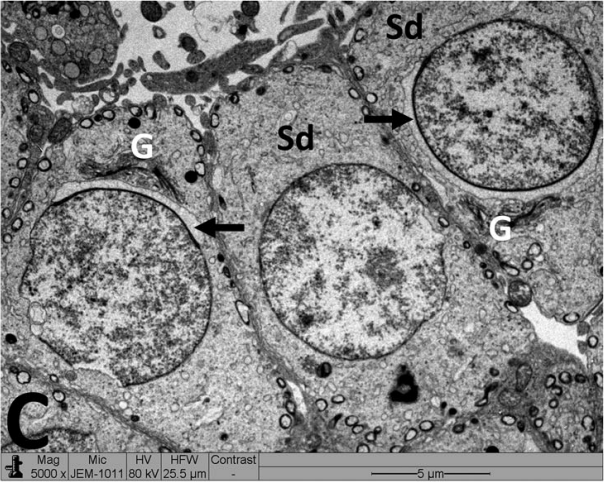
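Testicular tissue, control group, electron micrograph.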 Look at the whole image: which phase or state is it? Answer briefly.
Phase of acrosomal formation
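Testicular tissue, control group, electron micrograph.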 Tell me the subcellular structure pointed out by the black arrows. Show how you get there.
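The arrows point at a thin dense layer closely applied over part of a round nucleus. The layer curves along the nuclear outline like a cap. So: acrosomal cap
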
